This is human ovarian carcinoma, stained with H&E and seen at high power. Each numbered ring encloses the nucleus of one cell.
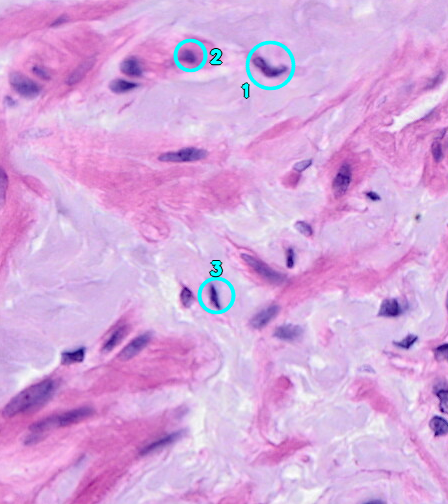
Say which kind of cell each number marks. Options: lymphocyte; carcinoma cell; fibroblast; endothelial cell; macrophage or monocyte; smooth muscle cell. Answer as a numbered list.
1. fibroblast
2. smooth muscle cell
3. fibroblast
